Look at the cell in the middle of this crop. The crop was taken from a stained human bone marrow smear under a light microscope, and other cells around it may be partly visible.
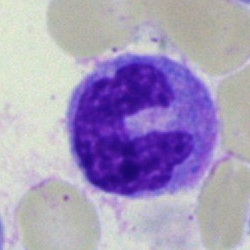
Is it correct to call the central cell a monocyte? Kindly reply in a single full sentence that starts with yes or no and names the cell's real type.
Yes, the cell in the middle has the identity of a monocyte.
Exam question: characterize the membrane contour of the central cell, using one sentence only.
There are no projections here; the outline is simply smooth.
